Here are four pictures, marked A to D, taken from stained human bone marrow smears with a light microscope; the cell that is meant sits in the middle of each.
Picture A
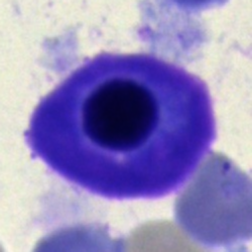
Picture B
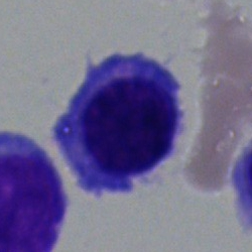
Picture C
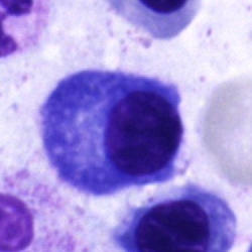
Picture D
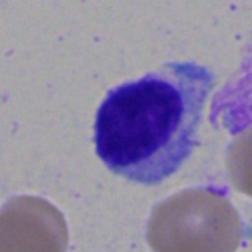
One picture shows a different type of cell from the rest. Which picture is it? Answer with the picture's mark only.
D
